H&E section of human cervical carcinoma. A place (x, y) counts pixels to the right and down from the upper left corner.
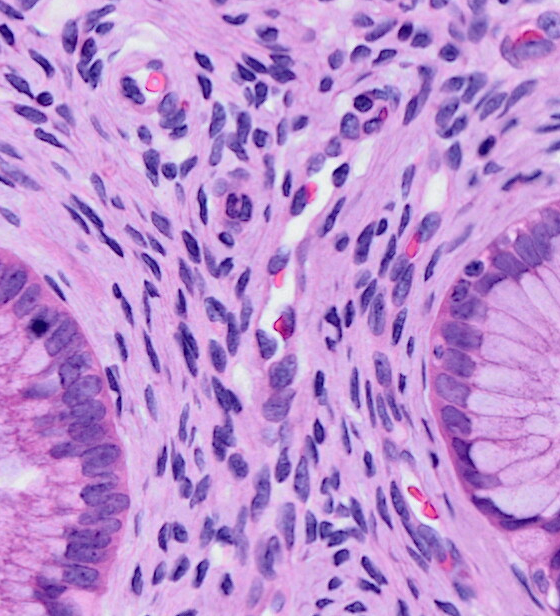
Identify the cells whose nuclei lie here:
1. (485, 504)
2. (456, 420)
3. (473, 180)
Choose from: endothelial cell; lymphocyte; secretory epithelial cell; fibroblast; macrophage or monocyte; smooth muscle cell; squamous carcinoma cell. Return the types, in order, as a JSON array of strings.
["secretory epithelial cell", "secretory epithelial cell", "fibroblast"]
